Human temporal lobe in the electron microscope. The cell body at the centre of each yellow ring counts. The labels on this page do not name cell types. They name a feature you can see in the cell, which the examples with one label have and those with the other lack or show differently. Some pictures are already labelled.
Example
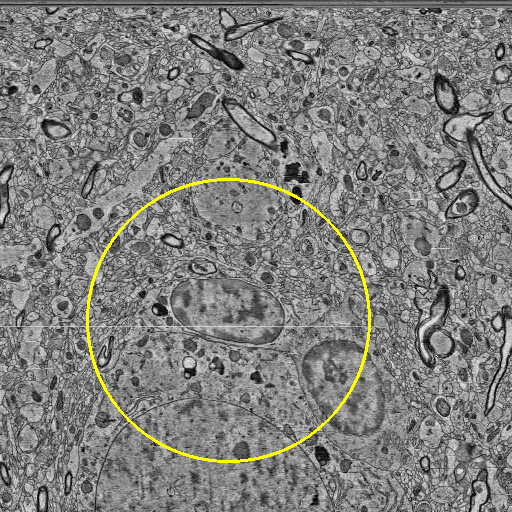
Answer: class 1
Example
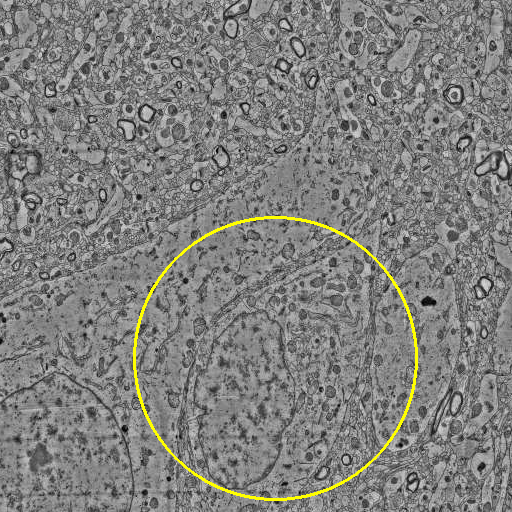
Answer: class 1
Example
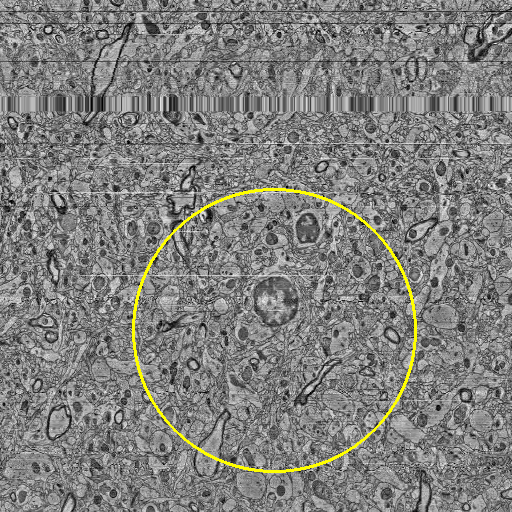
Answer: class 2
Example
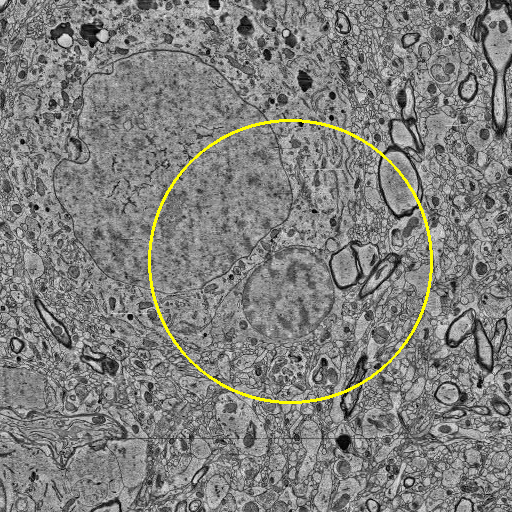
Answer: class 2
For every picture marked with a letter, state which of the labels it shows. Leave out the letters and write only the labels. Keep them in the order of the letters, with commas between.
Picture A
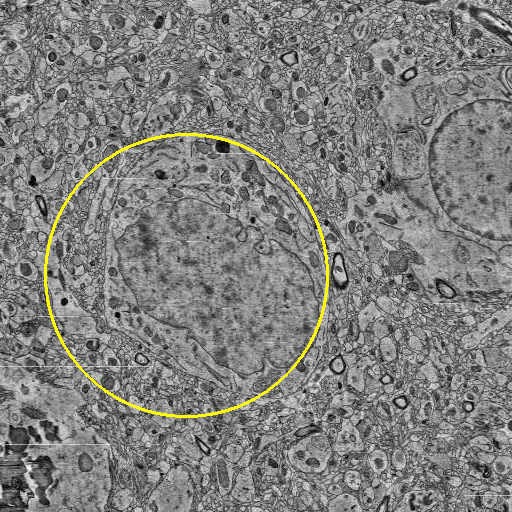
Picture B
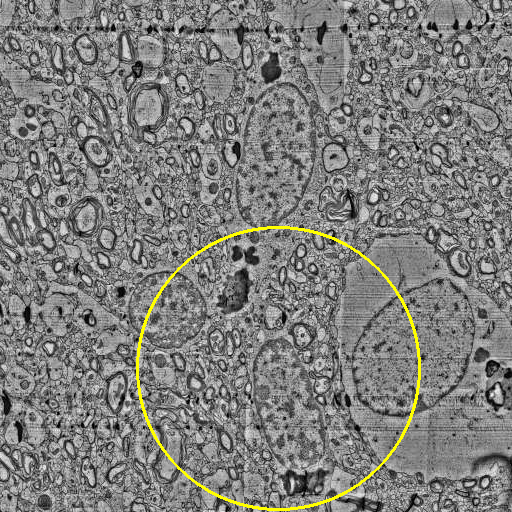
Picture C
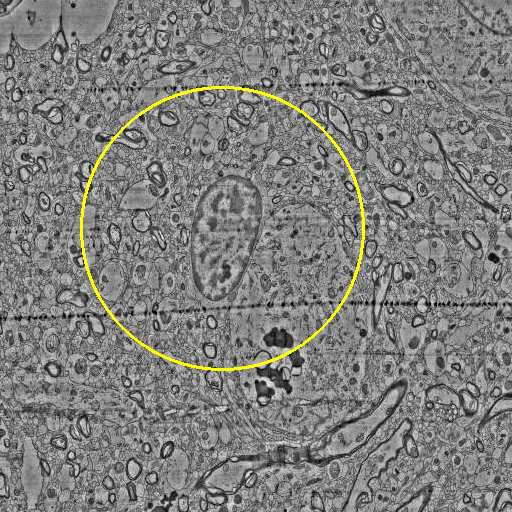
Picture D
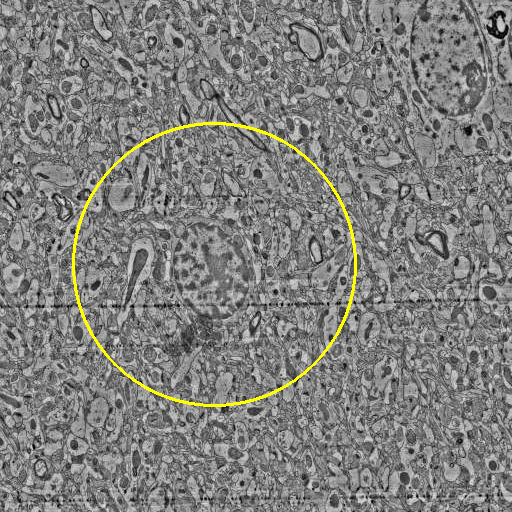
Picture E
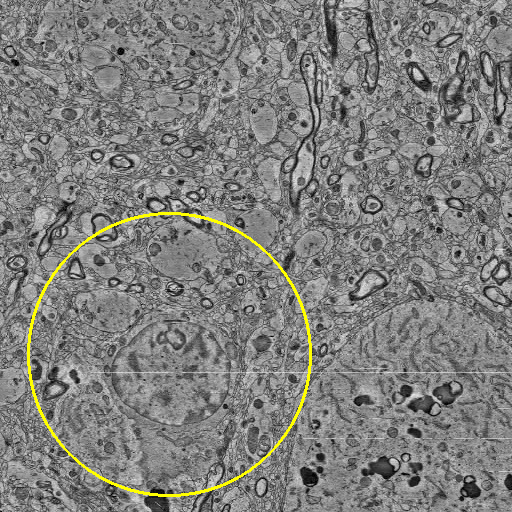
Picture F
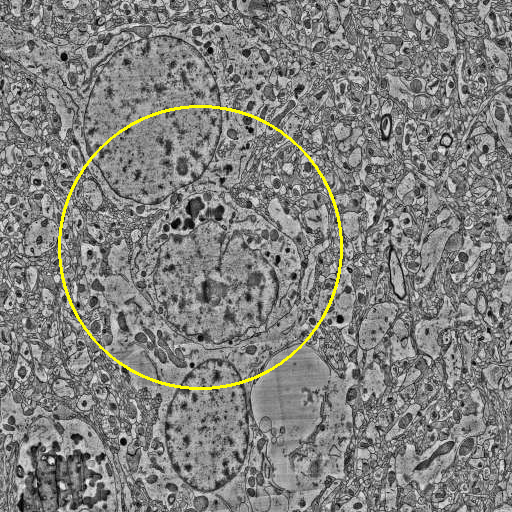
class 1, class 1, class 1, class 2, class 2, class 2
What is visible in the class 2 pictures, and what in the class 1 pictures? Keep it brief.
Seen in class 2: round or nearly round nuclei; seen in class 1: clearly elongated nuclei.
